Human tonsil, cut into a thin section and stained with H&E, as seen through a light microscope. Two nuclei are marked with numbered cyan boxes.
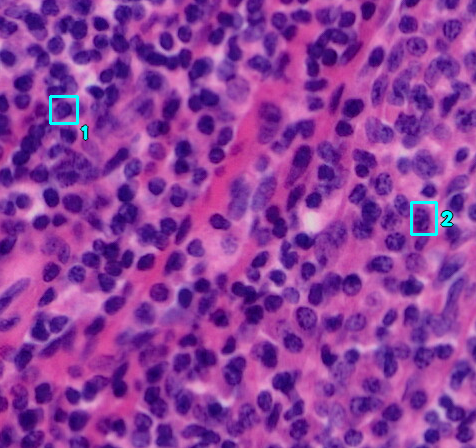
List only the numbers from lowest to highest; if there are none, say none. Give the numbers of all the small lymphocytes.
1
